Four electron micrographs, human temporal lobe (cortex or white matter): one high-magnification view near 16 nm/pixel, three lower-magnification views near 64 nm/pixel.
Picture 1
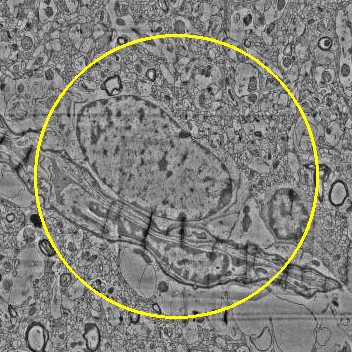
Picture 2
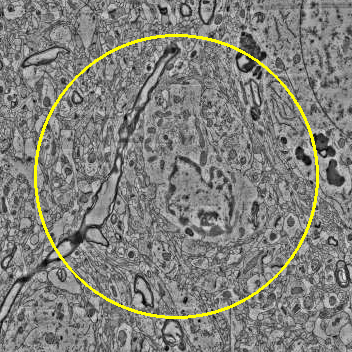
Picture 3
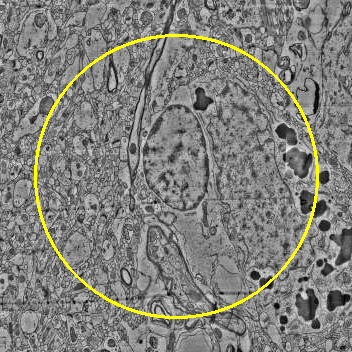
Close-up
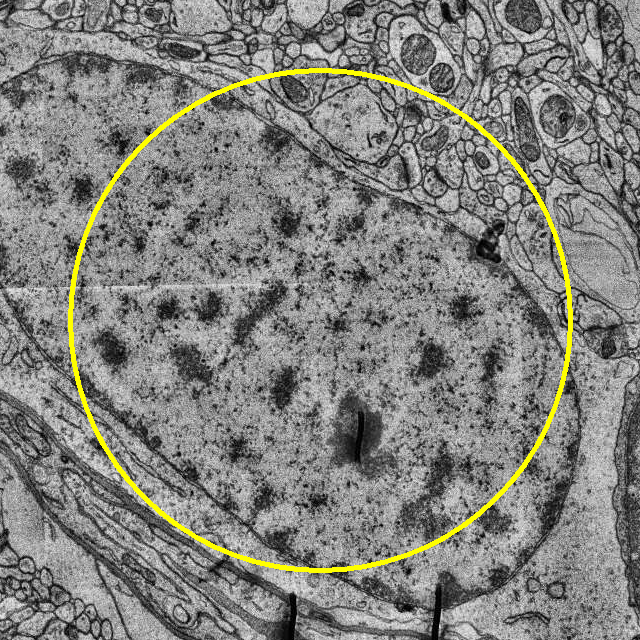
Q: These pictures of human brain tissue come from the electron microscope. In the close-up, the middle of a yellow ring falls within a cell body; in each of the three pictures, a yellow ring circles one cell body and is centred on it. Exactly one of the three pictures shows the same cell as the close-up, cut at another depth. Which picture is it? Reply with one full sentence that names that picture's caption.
The close-up depicts the ringed cell from Picture 1.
